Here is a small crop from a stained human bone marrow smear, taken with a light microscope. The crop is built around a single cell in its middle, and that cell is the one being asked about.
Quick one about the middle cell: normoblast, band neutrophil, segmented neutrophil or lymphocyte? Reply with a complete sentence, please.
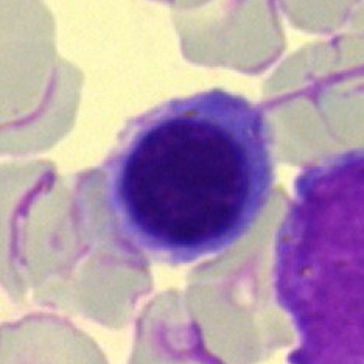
The crop's centre is taken up by a normoblast.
